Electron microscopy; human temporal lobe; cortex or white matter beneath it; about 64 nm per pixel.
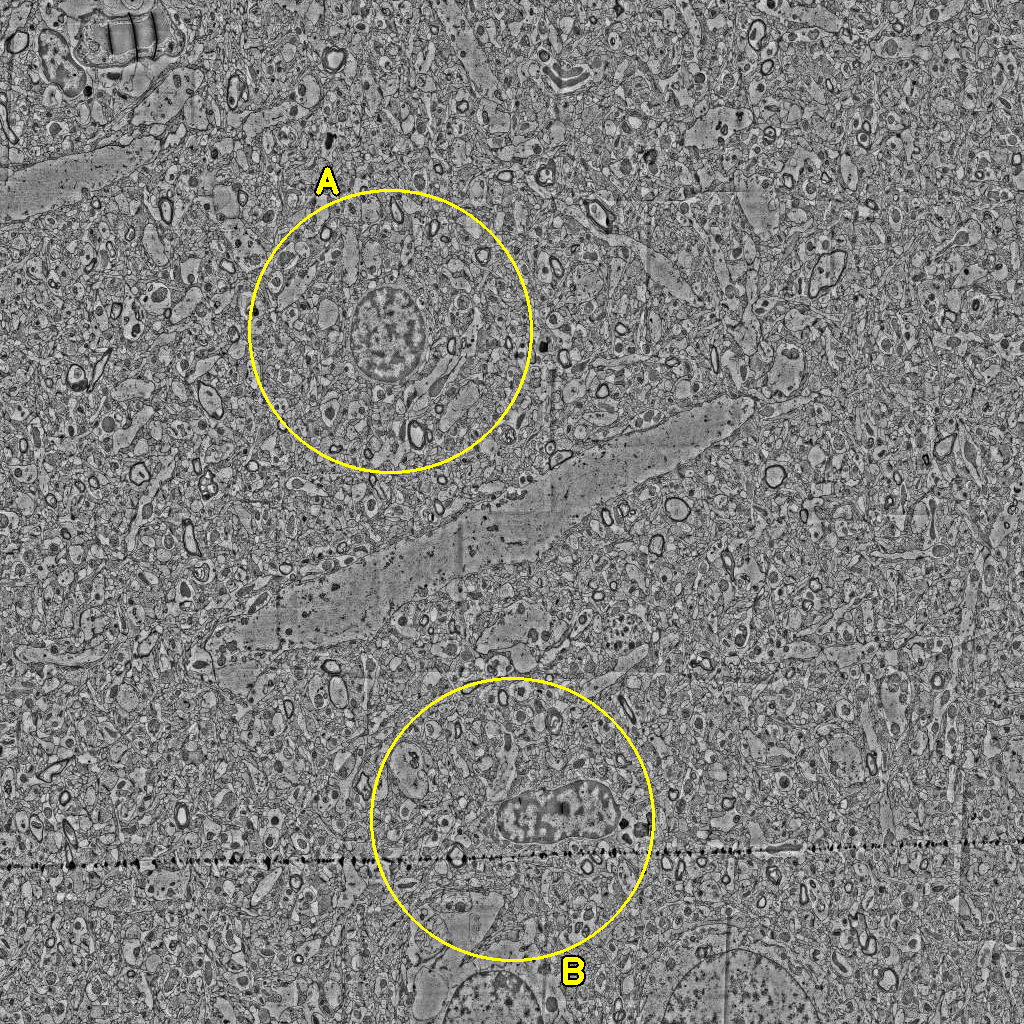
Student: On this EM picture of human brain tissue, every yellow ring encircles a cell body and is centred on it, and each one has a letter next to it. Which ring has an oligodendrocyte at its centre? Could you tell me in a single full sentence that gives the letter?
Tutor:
Ring A is the one drawn around the cell you are asking about.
